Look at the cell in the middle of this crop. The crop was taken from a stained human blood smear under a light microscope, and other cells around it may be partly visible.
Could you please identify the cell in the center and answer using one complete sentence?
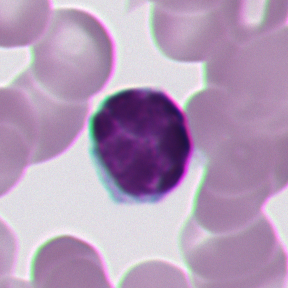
The cell shown in the center of this light-microscope crop is a typical lymphocyte.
